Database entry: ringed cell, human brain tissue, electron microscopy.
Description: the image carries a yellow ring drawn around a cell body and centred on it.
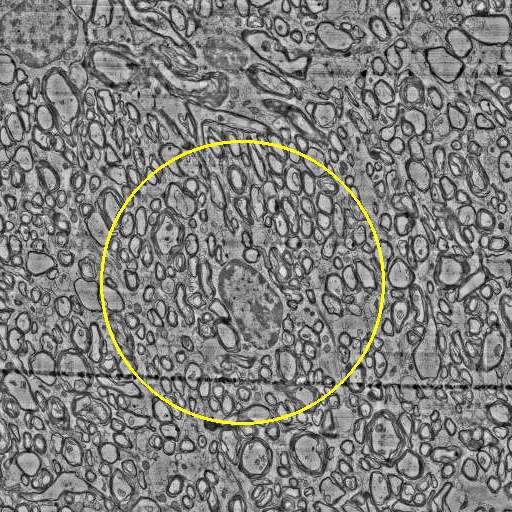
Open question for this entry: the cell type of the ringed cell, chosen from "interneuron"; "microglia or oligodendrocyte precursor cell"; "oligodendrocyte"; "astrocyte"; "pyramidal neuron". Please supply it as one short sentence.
The ringed cell is a microglial cell or oligodendrocyte precursor cell.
